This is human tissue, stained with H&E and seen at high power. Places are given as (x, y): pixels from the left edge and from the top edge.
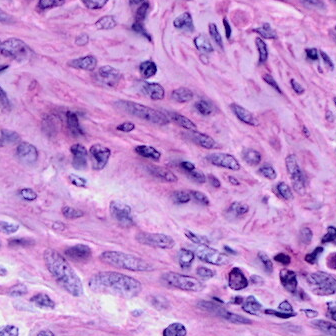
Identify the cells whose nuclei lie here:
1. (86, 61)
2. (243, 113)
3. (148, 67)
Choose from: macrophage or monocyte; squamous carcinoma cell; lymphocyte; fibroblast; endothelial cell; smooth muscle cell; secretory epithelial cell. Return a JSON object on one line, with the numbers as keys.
{"1": "smooth muscle cell", "2": "smooth muscle cell", "3": "lymphocyte"}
